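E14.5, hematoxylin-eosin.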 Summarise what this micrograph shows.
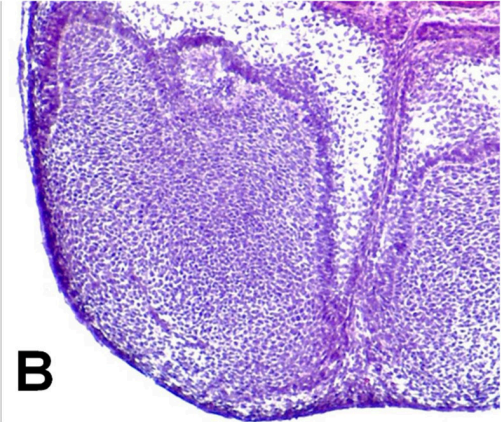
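A molar tooth germ in section, mostly a large, uniformly dense mass of small purple-nucleated mesenchymal cells, capped by an epithelium with only a shallow, irregular fold instead of well-formed cusps. The epithelial cells lining the mesenchyme are not arranged in a tall columnar palisade, and their nuclei lack a clear common alignment. No distinct row of elongated cells lines the epithelial border, and no pink band of matrix separates the layers. Loose, pale tissue lies above the epithelium. The picture is of a disorganized cusp pattern with non-polarized inner epithelium and an undifferentiated odontoblastic layer.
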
